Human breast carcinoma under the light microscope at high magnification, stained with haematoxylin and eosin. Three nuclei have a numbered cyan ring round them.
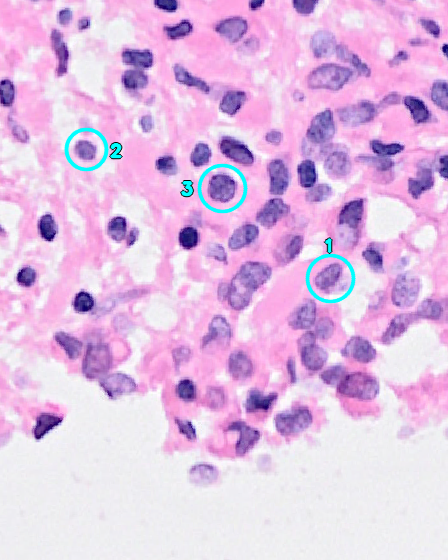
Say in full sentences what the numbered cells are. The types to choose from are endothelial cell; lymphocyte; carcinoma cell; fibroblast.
Cell 1 is a carcinoma cell, cell 2 is a lymphocyte and cell 3 is a lymphocyte.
